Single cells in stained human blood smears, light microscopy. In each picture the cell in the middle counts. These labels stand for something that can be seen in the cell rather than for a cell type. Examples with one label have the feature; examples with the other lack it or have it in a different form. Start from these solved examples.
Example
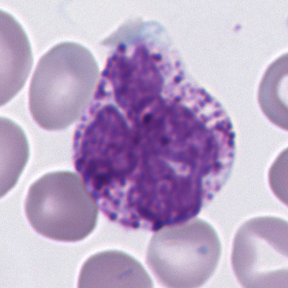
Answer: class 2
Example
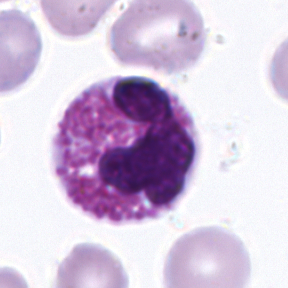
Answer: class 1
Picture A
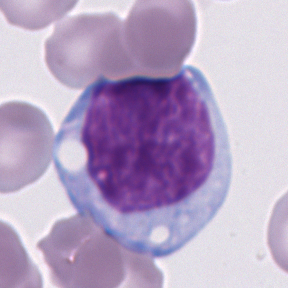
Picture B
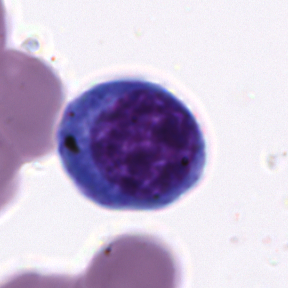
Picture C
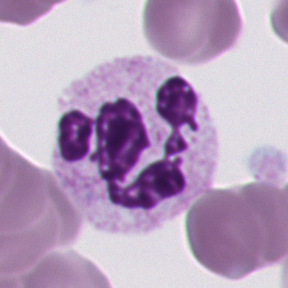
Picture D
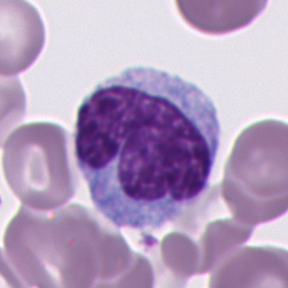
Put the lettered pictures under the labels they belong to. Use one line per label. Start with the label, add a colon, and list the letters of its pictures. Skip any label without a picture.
class 2: D
class 1: A, B, C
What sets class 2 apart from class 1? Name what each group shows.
class 2, ragged outline or projections; class 1, smooth outline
